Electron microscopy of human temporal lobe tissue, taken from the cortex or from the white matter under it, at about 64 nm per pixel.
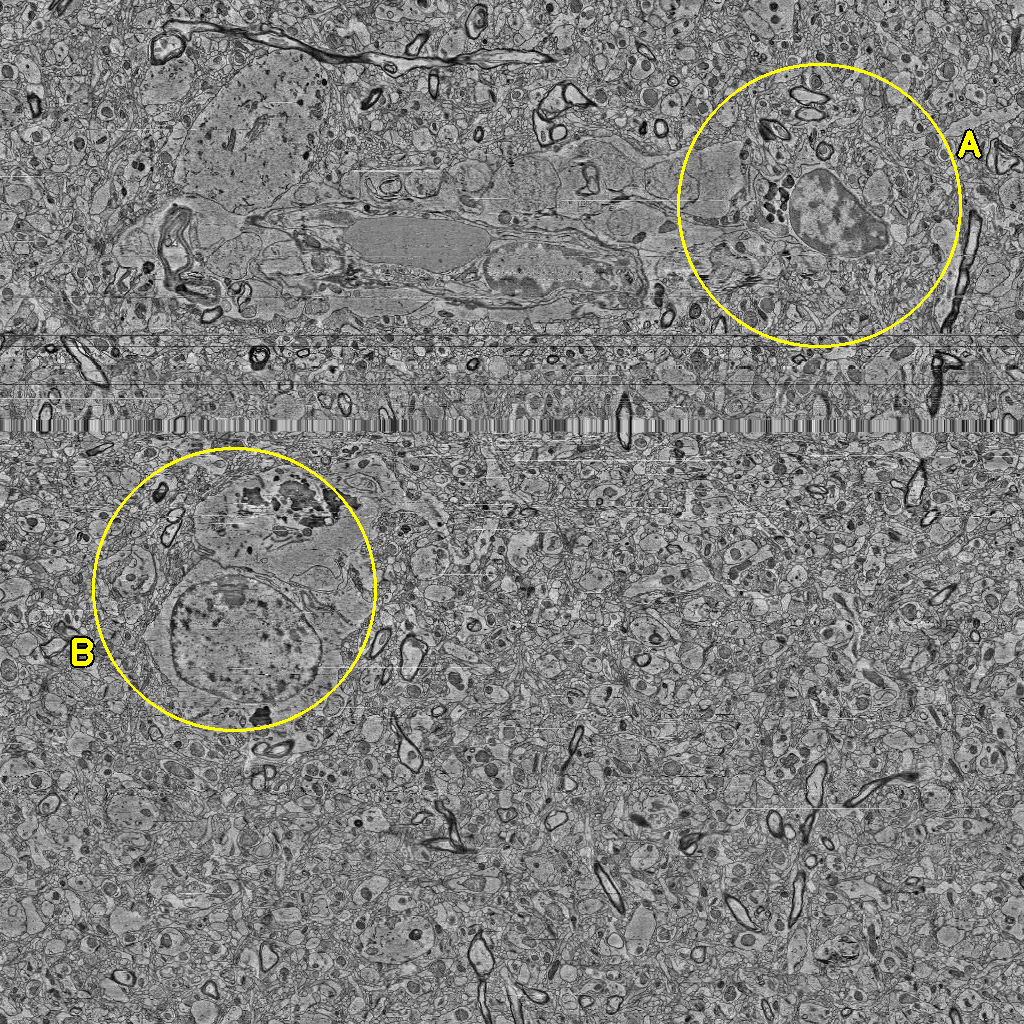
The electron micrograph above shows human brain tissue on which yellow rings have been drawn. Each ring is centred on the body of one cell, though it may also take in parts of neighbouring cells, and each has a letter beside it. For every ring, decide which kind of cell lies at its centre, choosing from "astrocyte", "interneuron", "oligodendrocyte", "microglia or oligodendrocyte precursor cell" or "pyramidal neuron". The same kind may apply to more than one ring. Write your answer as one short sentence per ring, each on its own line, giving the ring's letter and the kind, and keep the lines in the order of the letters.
Ring A is centred on a microglial cell or oligodendrocyte precursor cell.
Ring B is centred on an astrocyte.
